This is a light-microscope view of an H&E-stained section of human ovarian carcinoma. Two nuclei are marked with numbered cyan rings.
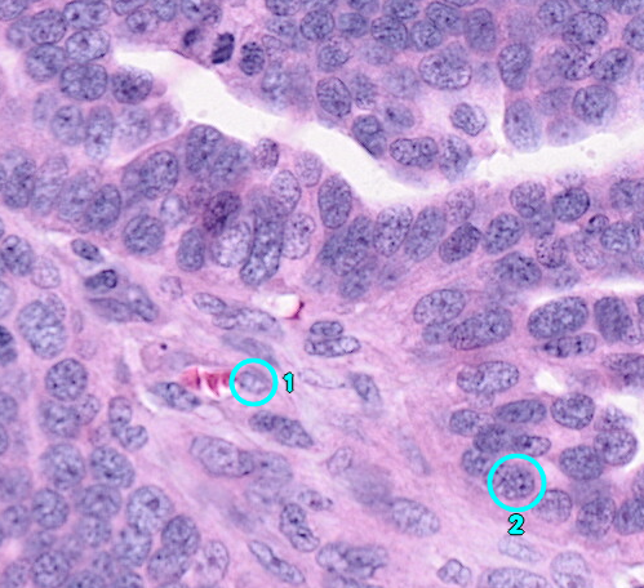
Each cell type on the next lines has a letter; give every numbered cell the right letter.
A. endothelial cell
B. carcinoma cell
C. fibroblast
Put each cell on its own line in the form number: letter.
1: A
2: B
